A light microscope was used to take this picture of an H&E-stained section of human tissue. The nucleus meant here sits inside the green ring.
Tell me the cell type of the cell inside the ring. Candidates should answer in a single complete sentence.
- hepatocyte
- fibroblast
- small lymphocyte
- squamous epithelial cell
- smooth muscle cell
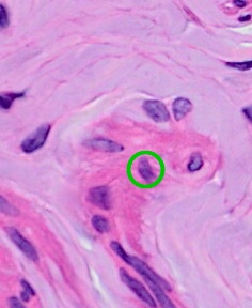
The cell type of the cell inside the ring is that of a smooth muscle cell.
